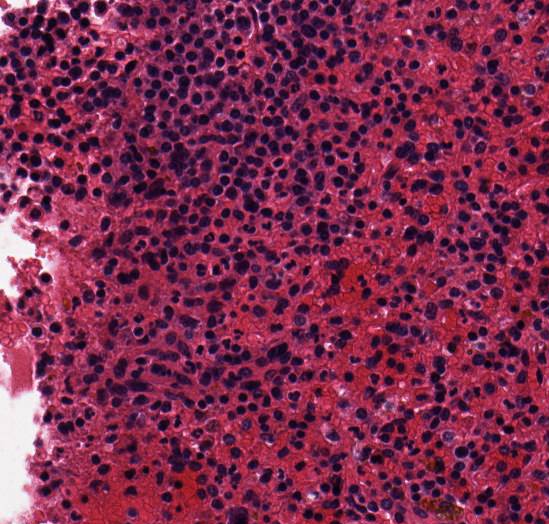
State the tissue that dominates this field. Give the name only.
red pulp of the spleen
